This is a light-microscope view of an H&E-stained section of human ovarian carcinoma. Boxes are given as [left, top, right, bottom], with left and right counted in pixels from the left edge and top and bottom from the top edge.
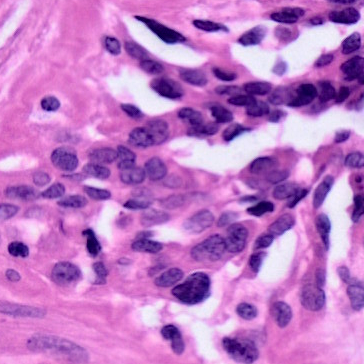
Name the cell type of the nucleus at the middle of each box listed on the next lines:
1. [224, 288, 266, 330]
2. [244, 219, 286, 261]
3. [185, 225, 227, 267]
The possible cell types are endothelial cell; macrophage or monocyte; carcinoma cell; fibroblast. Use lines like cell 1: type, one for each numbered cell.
cell 1: macrophage or monocyte
cell 2: carcinoma cell
cell 3: carcinoma cell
